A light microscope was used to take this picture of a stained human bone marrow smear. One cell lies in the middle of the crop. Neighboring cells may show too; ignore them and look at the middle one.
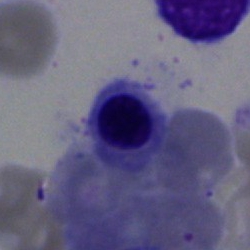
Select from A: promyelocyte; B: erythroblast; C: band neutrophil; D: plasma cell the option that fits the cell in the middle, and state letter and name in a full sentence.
The cell in the middle is an erythroblast, and that makes option B correct.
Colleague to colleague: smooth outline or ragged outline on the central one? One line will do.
No surface projections are present; the cell outline is smooth.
